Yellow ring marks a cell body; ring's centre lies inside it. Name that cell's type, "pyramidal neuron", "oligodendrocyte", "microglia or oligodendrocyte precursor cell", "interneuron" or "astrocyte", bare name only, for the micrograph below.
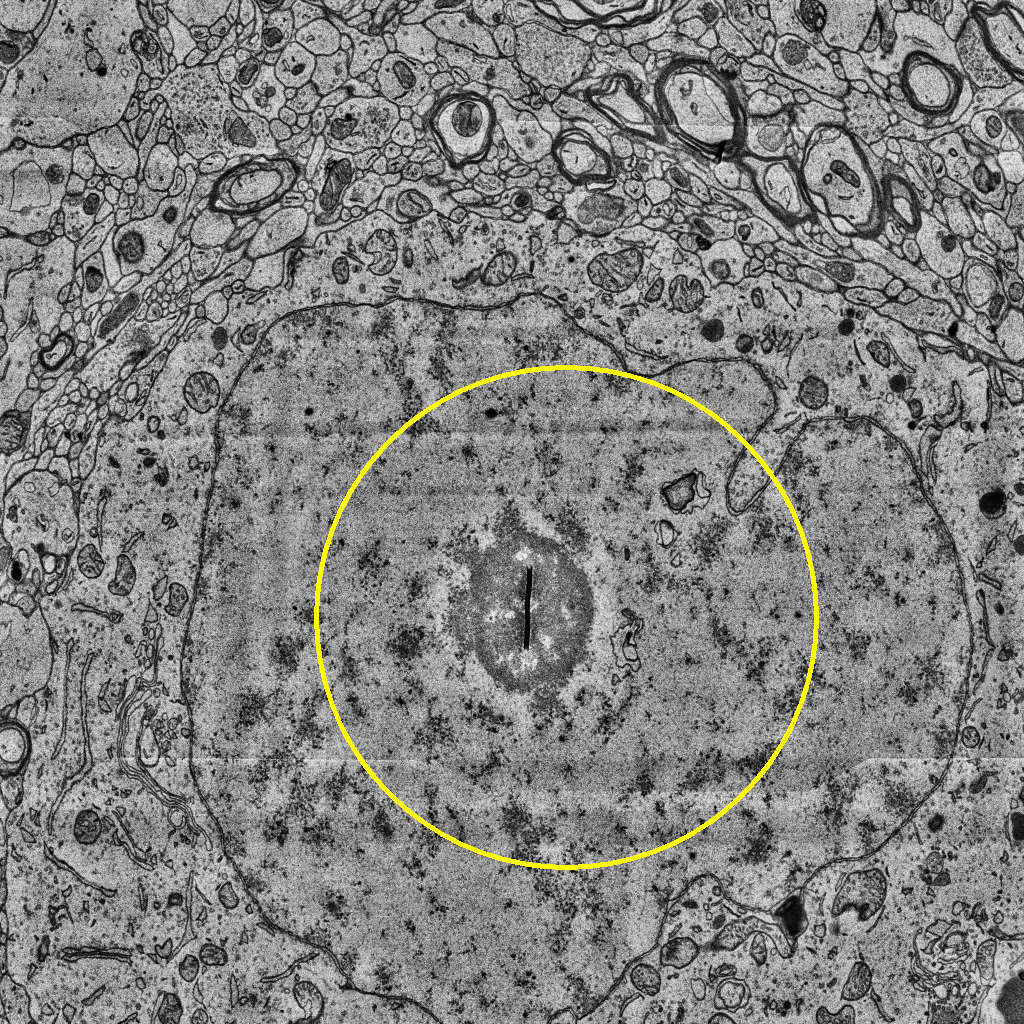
pyramidal neuron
